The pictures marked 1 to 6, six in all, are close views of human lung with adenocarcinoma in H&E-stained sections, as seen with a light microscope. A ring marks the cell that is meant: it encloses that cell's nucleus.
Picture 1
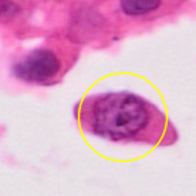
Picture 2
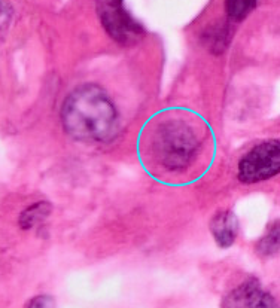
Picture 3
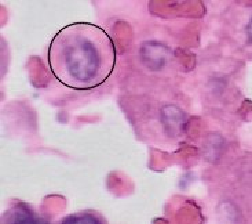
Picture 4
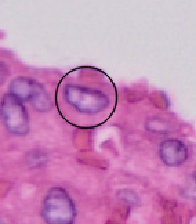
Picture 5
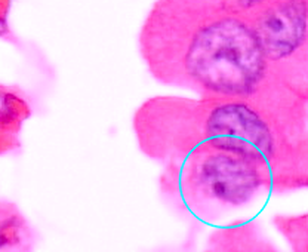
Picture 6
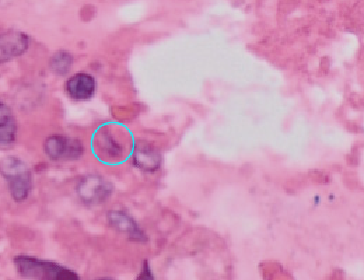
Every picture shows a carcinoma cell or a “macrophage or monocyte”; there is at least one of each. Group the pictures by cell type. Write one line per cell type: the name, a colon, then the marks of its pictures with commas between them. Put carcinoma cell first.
carcinoma cell: 1, 2, 5
macrophage or monocyte: 3, 4, 6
